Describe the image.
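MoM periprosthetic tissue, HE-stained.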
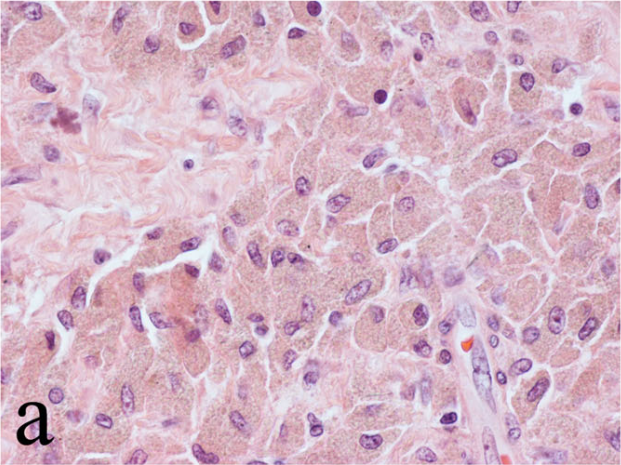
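The cells are polygonal with abundant cytoplasm that is filled with fine brown granular pigment, giving the field a tan-brown hue. Each cell has a single oval nucleus with fine chromatin, and the cells are separated by thin strands of pale pink stroma with occasional small vessels.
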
